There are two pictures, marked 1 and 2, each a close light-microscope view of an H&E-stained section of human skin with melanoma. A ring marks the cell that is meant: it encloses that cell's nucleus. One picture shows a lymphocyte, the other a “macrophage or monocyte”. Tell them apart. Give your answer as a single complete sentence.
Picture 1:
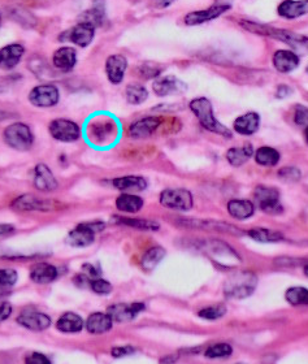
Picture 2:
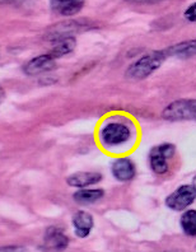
It is picture 1 that shows a “macrophage or monocyte”, and picture 2 that shows a lymphocyte.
